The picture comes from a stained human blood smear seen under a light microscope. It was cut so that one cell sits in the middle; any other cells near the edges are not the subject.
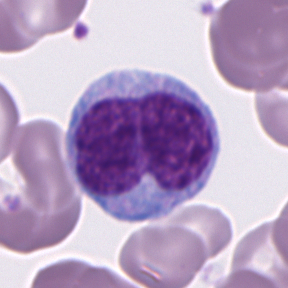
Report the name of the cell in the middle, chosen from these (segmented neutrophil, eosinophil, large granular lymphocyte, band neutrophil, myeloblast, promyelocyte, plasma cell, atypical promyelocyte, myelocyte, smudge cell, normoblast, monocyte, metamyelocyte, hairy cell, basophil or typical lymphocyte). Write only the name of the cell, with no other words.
monocyte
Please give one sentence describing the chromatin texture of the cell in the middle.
What stands out is chromatin that is coarsely clumped.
